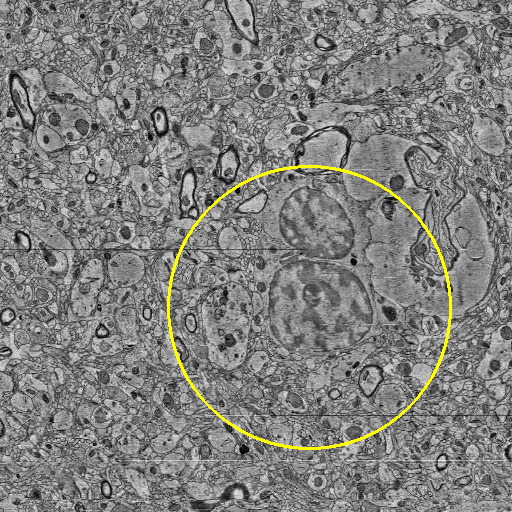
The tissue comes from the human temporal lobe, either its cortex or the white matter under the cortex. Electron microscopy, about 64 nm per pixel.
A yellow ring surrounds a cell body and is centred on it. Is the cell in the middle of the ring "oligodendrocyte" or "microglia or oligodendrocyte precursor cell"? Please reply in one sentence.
The ring is centred on an oligodendrocyte.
